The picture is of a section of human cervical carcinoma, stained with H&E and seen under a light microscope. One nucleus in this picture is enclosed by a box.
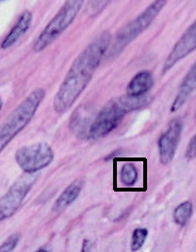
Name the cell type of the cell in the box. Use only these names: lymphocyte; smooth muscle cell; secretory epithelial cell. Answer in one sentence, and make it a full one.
In the context of this tissue, the cell in the box is a smooth muscle cell.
